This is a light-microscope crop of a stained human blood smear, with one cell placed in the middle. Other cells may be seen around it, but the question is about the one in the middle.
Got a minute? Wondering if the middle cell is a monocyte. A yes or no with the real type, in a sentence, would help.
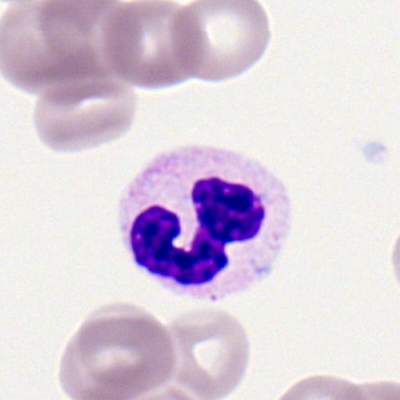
No, the middle one is a neutrophil rather than a monocyte.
